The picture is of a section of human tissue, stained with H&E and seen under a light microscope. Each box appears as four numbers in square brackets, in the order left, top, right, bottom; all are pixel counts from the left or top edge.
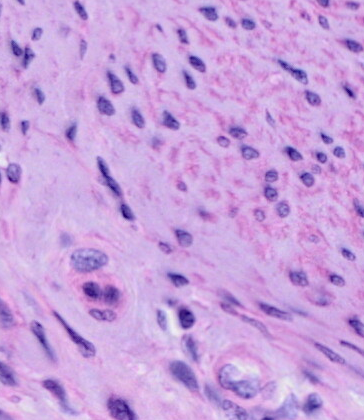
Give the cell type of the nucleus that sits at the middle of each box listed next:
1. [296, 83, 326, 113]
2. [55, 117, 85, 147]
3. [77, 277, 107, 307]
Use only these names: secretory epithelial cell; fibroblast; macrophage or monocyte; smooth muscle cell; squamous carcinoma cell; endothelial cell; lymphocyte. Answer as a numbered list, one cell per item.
1. smooth muscle cell
2. fibroblast
3. endothelial cell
